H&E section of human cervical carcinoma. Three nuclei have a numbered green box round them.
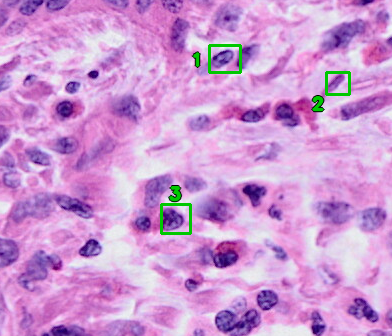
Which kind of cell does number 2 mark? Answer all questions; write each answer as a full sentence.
The cell assigned the number 2 is a fibroblast.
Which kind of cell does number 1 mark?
Of the numbered cells, the one labelled 1 is a lymphocyte.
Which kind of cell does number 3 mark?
Belonging to a lymphocyte is the nucleus that carries the number 3.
